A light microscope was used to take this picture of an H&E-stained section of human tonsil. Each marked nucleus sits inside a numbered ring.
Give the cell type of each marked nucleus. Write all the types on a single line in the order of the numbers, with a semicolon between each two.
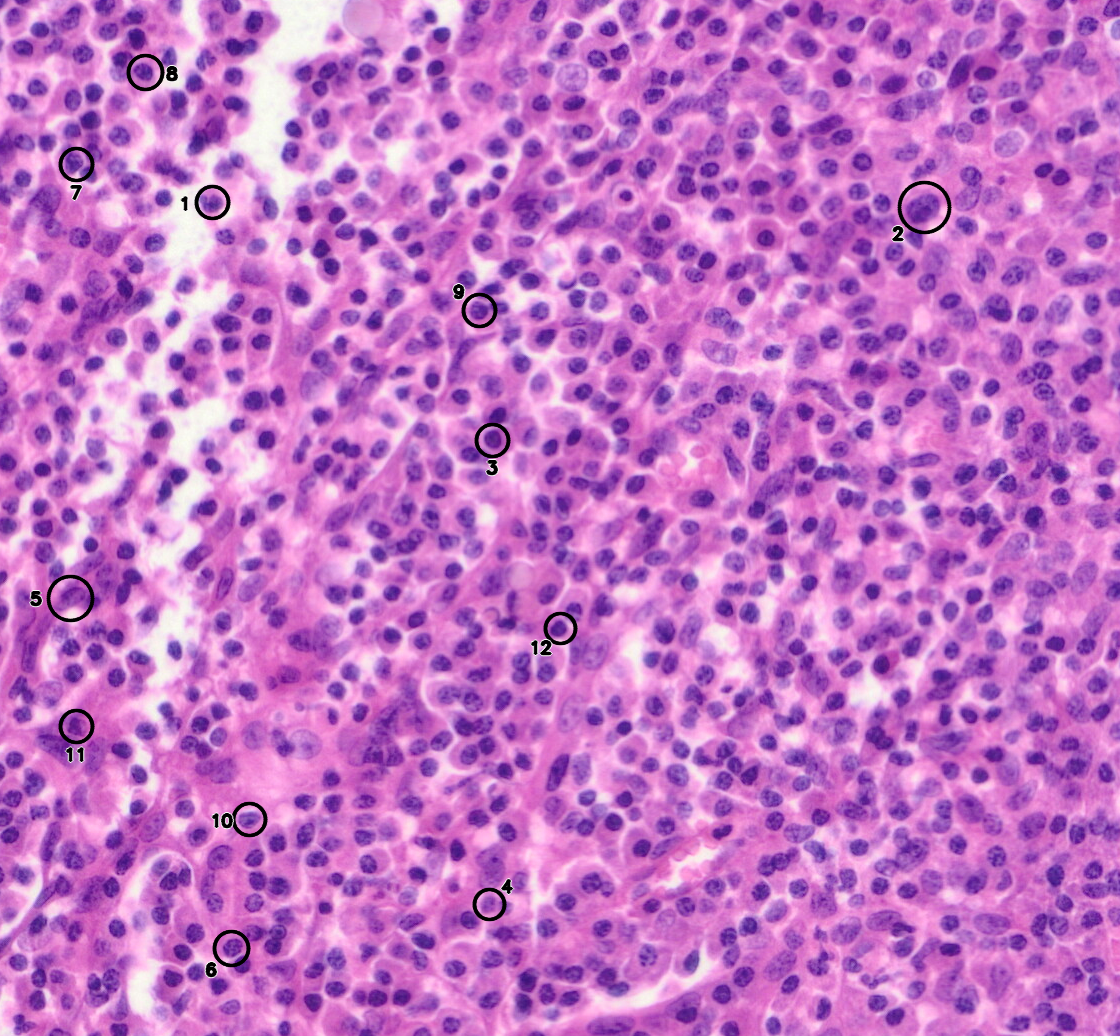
plasma cell; squamous epithelial cell; plasma cell; squamous epithelial cell; squamous epithelial cell; plasma cell; plasma cell; plasma cell; plasma cell; squamous epithelial cell; squamous epithelial cell; plasma cell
